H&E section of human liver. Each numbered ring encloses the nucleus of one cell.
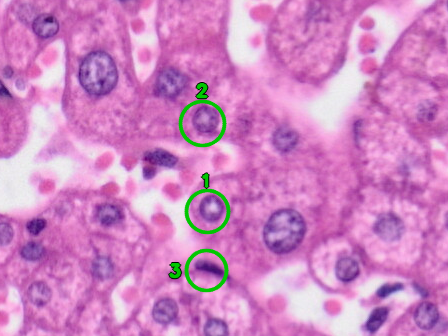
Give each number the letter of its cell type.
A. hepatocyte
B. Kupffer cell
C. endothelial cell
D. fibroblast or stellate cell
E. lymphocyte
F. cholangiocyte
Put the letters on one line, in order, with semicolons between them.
A; A; D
